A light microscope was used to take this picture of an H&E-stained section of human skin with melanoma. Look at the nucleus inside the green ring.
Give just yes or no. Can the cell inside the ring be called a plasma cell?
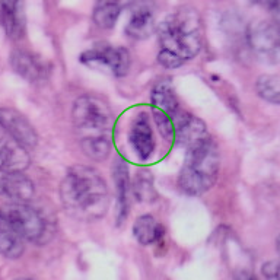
no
